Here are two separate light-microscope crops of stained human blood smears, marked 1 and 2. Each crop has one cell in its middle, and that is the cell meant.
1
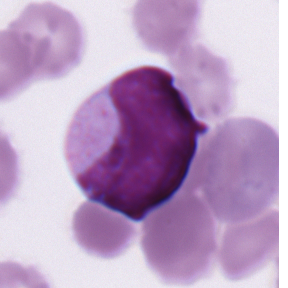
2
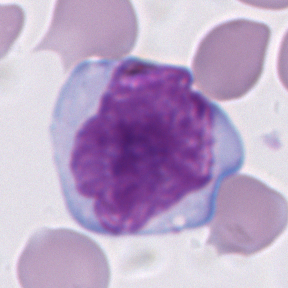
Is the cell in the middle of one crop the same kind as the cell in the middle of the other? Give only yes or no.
yes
